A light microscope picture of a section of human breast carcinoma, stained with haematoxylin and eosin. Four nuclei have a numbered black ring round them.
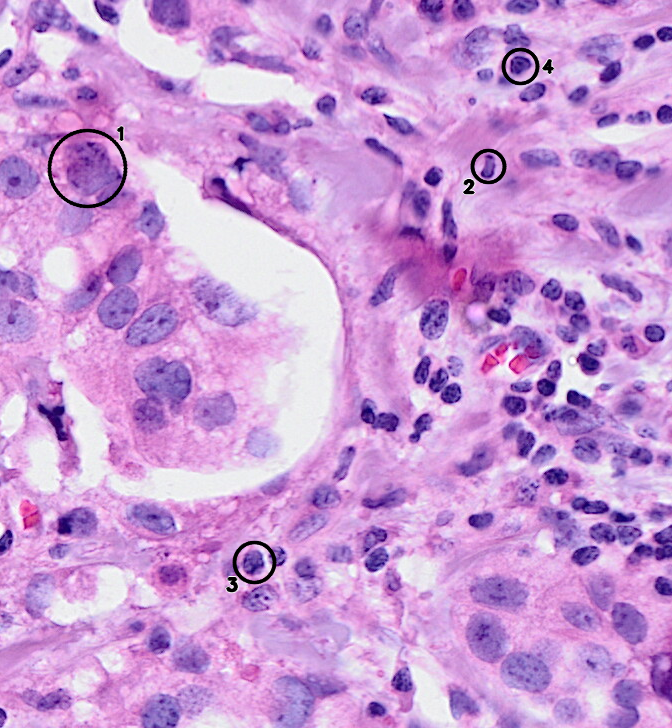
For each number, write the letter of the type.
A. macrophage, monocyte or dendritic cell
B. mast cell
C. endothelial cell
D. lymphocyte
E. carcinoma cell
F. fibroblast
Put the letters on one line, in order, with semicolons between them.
E; D; D; D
